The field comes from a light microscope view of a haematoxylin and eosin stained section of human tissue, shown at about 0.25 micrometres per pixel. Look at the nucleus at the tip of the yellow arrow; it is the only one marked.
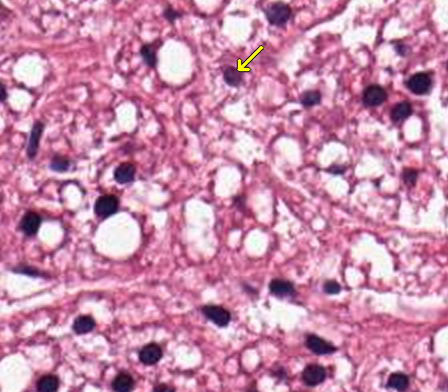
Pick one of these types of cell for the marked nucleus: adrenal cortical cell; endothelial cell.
adrenal cortical cell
